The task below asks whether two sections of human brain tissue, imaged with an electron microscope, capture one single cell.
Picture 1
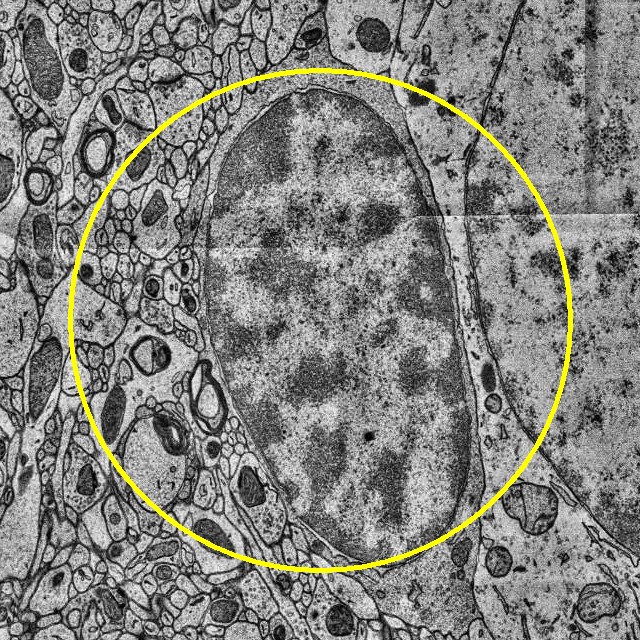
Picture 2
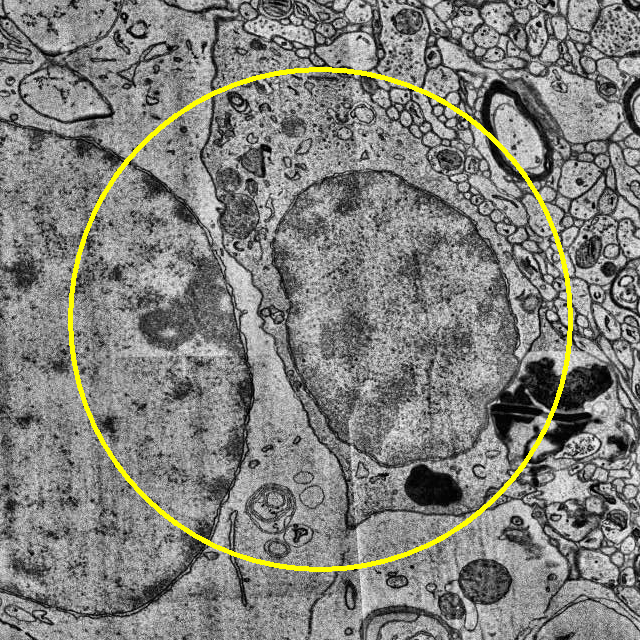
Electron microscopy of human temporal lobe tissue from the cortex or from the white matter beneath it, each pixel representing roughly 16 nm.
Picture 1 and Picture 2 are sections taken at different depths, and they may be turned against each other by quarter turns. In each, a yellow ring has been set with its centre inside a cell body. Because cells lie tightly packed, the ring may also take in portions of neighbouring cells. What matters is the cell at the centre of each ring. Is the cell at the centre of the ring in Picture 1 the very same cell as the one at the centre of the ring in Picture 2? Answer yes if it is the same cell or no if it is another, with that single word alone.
no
